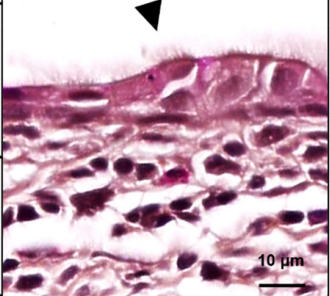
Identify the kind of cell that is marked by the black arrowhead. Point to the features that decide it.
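Fine hair-like projections line the free apical surface of the surface cells. The arrowhead points to the cell layer bearing these projections. The cells form a surface lining over loose connective tissue. That points to this answer: Ciliated cells.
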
